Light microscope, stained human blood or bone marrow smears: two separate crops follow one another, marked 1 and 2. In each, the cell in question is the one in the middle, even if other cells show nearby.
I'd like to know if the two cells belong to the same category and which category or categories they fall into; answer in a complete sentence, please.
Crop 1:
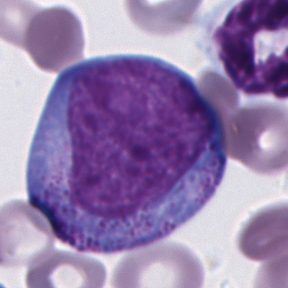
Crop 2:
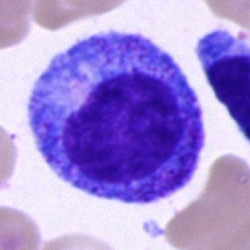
Yes, both crops show promyelocytes, with no exception.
